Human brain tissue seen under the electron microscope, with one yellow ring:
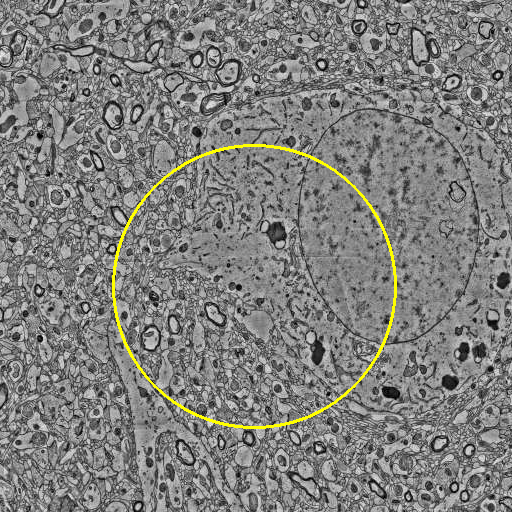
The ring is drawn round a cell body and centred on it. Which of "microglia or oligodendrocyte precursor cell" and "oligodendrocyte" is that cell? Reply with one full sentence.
The picture shows a microglial cell or oligodendrocyte precursor cell at the very centre of the yellow ring.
